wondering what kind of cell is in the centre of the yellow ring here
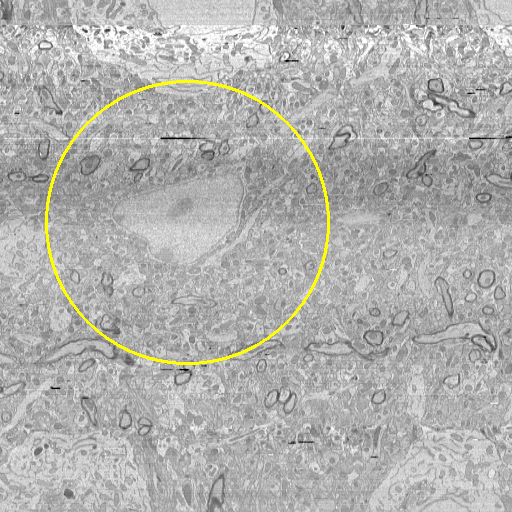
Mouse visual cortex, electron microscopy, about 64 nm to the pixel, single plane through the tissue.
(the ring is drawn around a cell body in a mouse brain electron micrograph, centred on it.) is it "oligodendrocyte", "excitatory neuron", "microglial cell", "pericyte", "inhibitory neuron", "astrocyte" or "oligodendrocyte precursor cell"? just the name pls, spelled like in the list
astrocyte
